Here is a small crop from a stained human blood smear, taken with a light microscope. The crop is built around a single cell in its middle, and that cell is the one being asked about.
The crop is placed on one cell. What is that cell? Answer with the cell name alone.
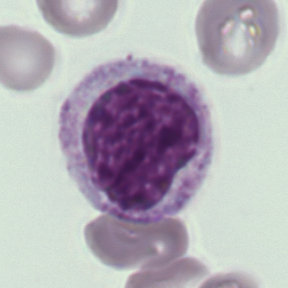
myelocyte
